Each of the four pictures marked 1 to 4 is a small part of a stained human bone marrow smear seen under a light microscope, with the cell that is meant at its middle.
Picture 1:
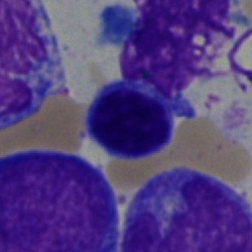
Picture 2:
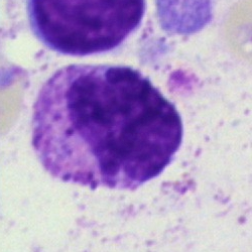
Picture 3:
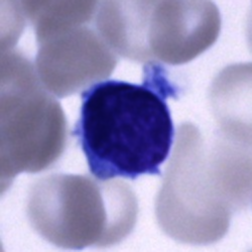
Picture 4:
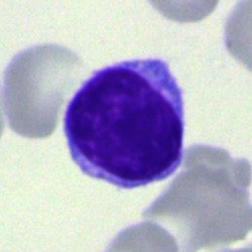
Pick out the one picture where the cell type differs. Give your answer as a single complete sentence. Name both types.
Unlike the rest, which show lymphocytes, picture 2 shows a basophil.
